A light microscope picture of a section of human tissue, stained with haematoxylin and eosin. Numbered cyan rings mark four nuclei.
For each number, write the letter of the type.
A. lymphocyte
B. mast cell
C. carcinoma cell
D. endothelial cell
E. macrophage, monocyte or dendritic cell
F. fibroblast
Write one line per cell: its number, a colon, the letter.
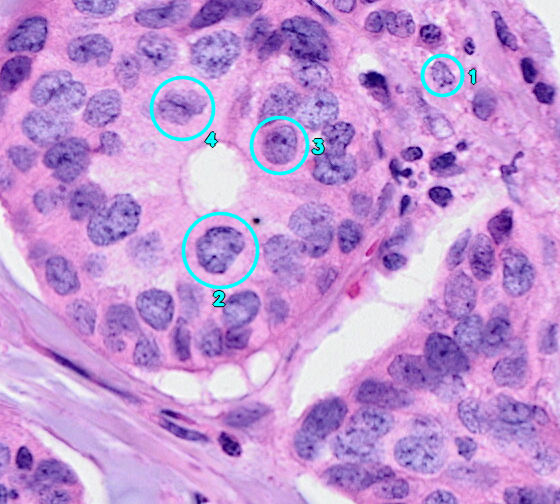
1: E
2: C
3: C
4: C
